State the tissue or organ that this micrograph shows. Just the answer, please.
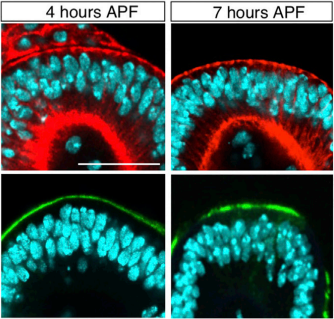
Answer: pseudo-stratified columnar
